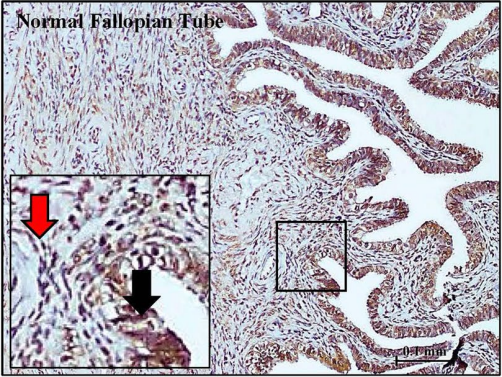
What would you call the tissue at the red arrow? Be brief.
Stroma.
